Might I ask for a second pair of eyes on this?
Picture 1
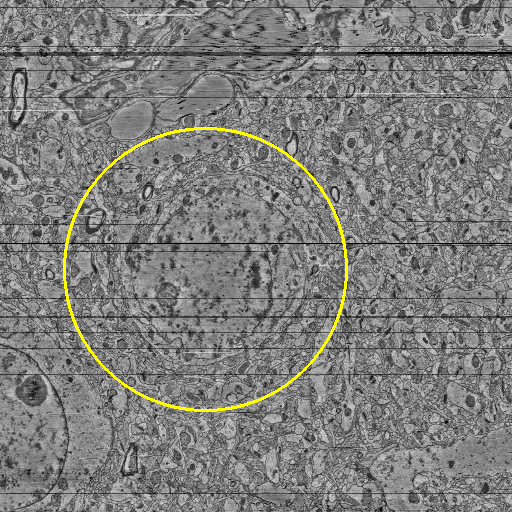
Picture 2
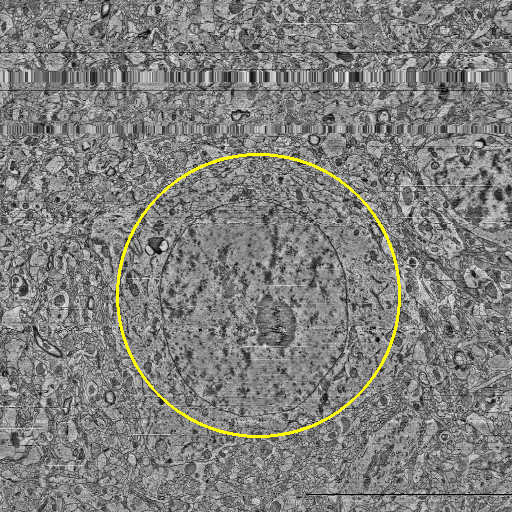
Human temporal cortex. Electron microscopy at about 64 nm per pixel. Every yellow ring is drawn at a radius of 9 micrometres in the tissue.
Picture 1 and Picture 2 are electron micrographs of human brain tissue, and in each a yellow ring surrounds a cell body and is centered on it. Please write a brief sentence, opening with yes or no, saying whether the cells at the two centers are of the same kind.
No, the cells are of two kinds.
